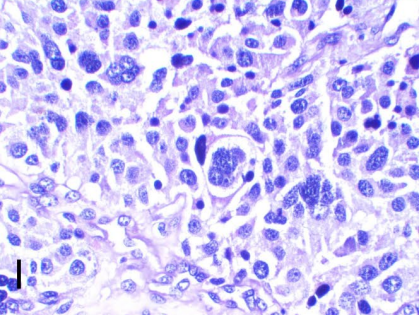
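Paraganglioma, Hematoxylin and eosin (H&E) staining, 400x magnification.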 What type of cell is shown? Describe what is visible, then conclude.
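A large cell with a huge dark nucleus in the centre. Nearby nuclei are much smaller and vary in size. The answer: tumor giant cells.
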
